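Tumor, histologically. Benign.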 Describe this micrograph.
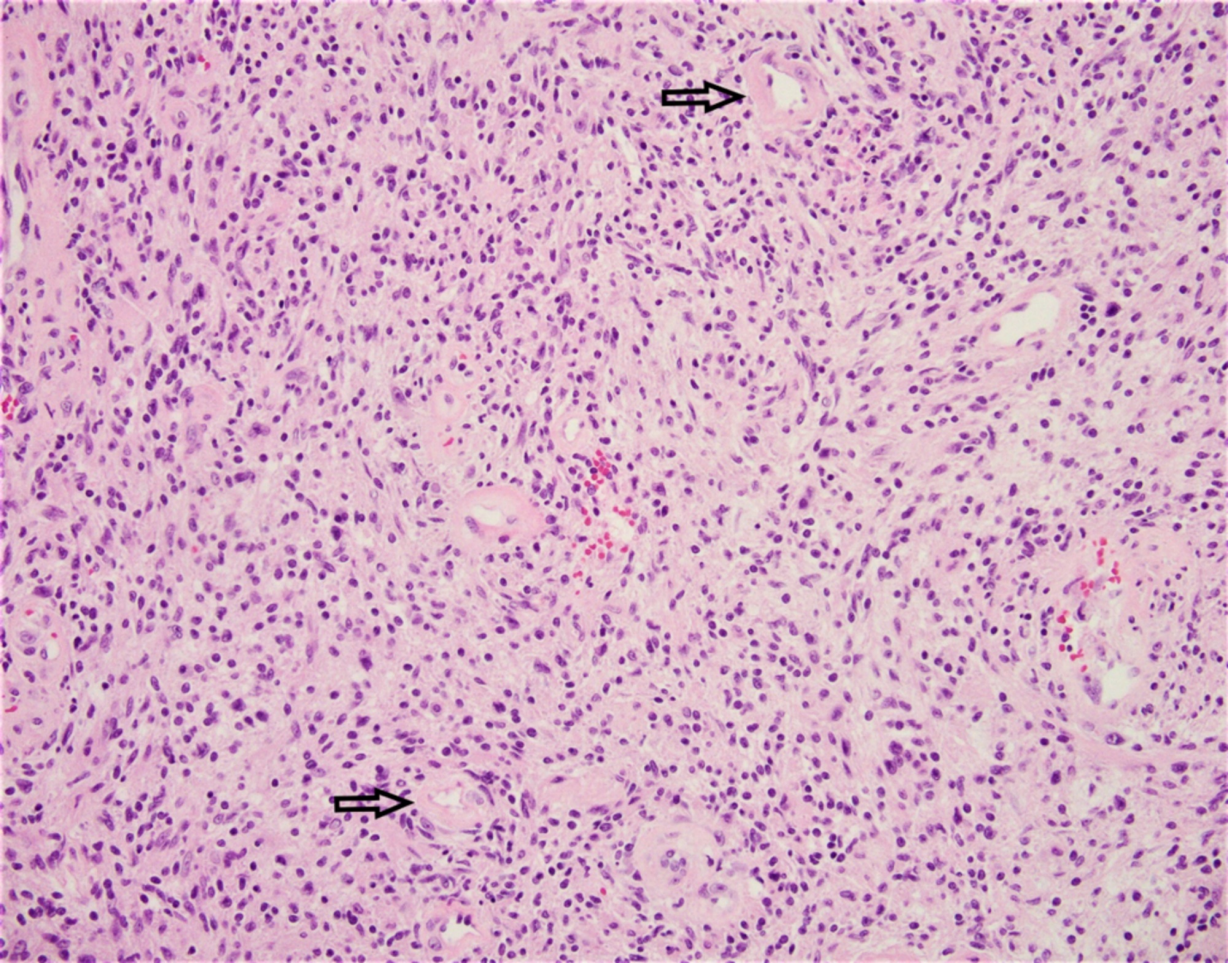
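Schwannoma made of spindle Schwann cells set in a pink collagenous stroma. The cells are elongated with pale pink cytoplasm and dark purple oval to wavy nuclei. Nuclei are fairly uniform and not crowded into large atypical forms. Scattered through the field are small vessels with open lumens and thick, glassy, evenly pink hyalinized walls that hold few nuclei. A few small clusters of red blood cells lie near the vessels in the centre and on the right.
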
